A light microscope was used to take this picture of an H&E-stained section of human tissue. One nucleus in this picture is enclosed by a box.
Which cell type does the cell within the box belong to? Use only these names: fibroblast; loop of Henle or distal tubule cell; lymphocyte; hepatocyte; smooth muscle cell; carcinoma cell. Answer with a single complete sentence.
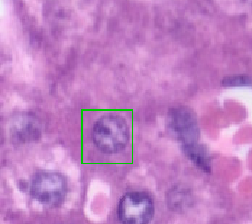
The cell type of the cell within the box is that of a hepatocyte.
